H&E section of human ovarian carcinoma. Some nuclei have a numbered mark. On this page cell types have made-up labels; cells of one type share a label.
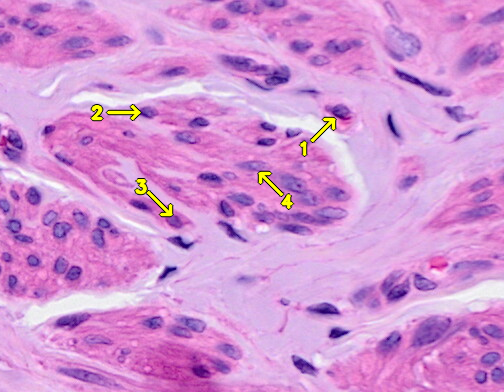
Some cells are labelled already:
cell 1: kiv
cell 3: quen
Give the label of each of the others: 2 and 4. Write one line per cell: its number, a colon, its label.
2: quen
4: quen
